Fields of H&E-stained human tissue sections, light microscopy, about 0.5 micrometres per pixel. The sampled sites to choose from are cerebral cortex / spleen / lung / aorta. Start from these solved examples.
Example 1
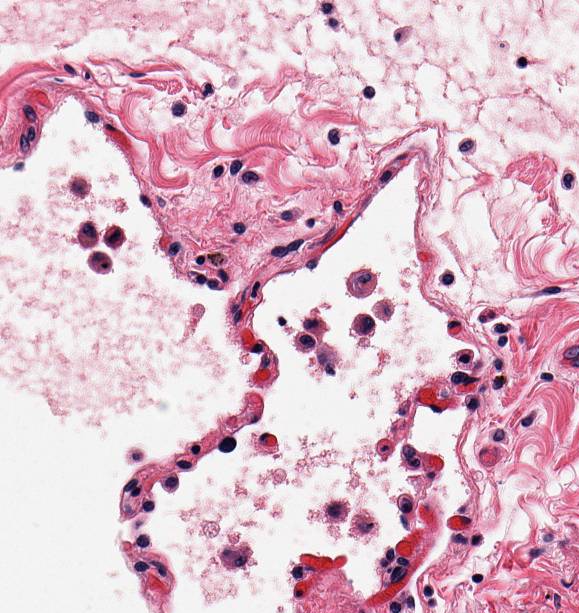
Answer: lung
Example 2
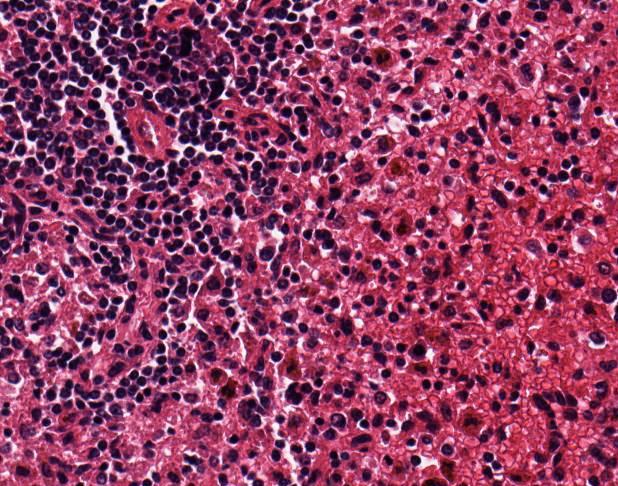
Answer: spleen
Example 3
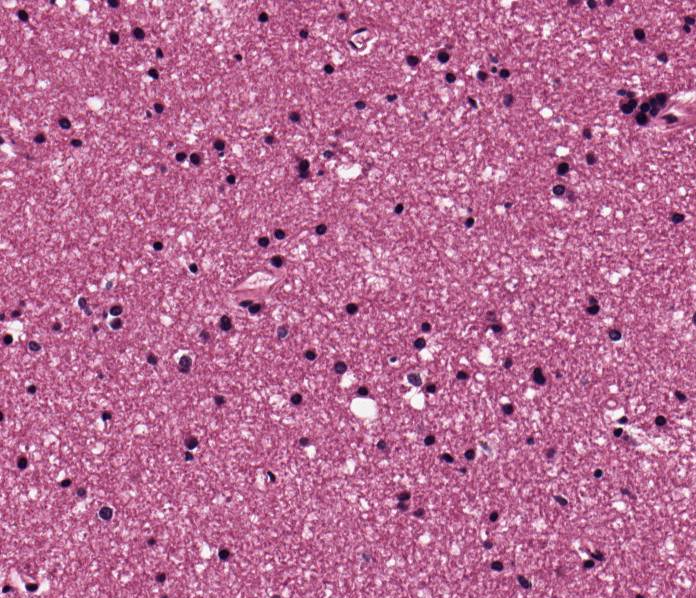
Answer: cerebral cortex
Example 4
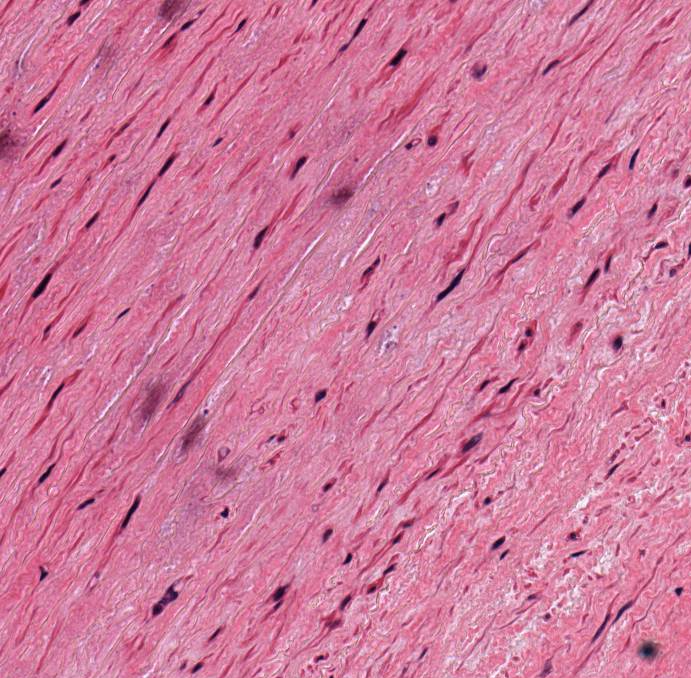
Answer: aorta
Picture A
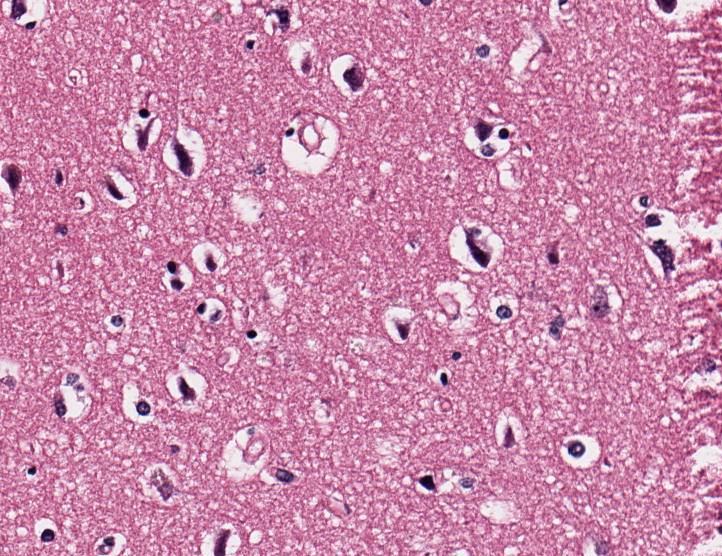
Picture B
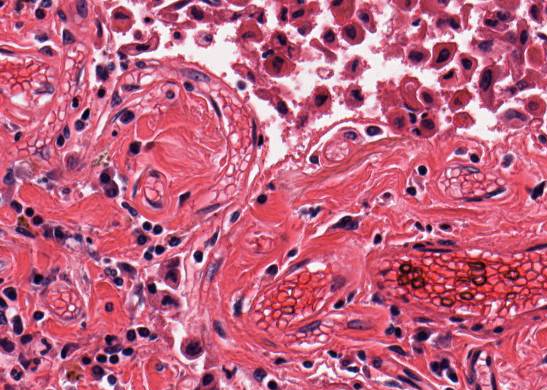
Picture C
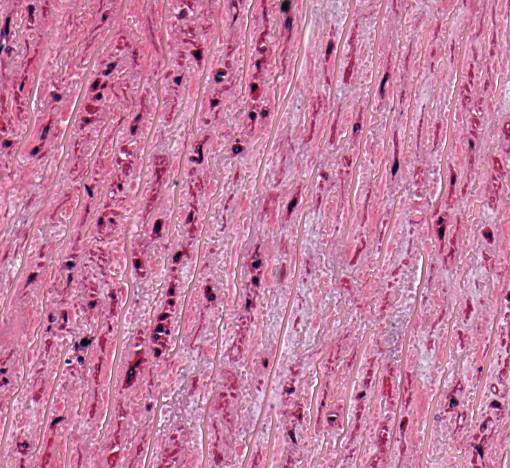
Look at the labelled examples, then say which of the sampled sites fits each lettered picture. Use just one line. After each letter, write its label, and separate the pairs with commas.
A cerebral cortex, B lung, C aorta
